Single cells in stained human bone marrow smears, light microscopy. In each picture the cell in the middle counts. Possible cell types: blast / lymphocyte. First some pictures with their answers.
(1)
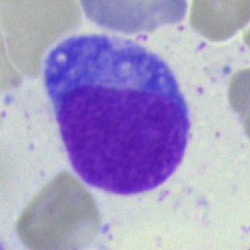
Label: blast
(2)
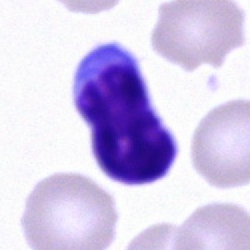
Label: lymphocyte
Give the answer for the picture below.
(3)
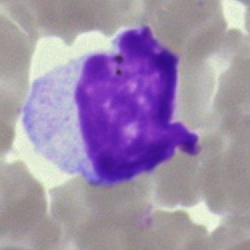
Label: blast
